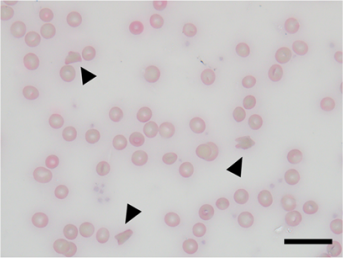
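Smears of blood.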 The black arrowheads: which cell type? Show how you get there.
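Schistocytes. The marked cells are small, irregular and angular red cell fragments. They lack the round outline of the surrounding red cells.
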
